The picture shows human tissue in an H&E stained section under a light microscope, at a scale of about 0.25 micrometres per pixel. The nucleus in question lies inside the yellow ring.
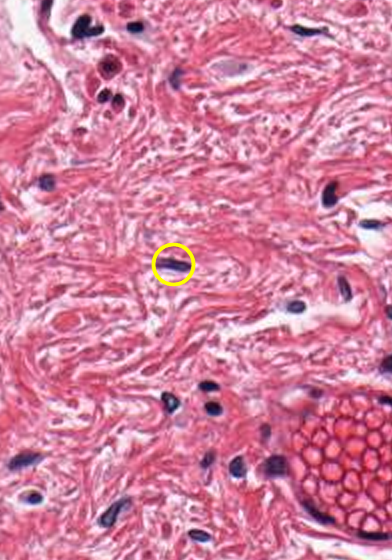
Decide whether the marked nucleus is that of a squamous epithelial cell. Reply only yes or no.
no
